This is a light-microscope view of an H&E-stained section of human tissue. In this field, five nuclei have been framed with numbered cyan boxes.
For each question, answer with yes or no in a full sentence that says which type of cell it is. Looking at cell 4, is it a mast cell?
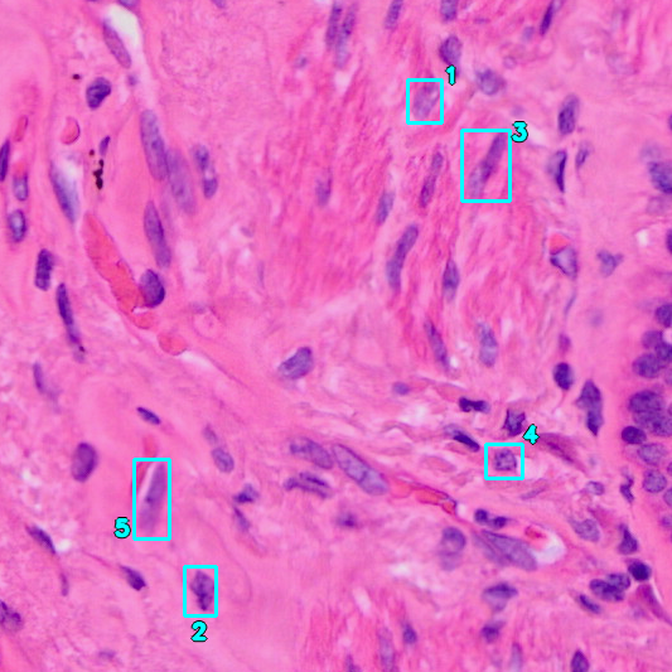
Yes, cell 4 among the marked cells is a mast cell.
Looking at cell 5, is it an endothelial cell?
Yes, the numbered nucleus 5 is that of an endothelial cell.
